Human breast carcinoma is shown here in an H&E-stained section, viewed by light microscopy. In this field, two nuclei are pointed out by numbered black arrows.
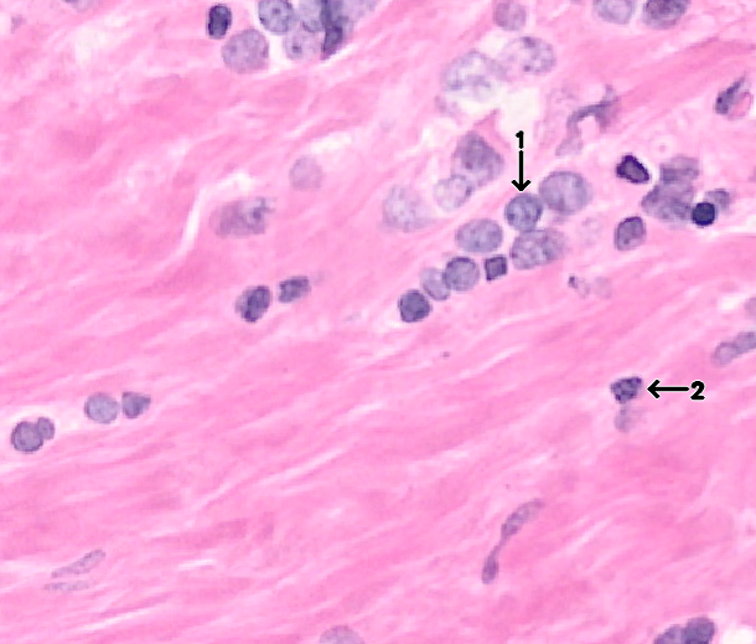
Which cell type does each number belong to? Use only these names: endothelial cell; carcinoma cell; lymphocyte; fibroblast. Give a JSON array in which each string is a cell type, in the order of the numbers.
["carcinoma cell", "lymphocyte"]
